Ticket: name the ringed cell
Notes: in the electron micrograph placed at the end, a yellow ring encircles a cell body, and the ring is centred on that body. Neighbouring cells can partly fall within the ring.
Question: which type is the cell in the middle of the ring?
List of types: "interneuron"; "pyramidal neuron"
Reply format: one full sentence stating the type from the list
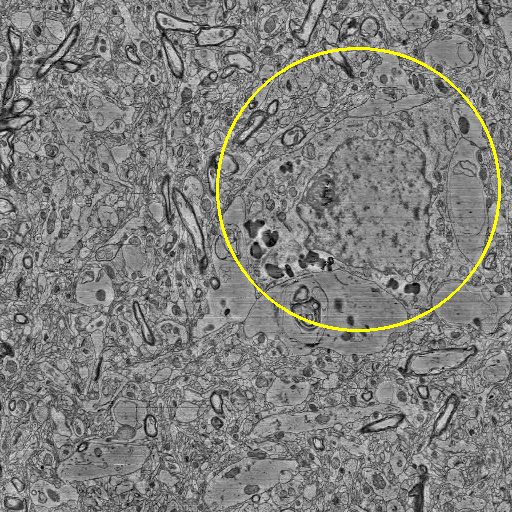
The cell sitting at the centre of the yellow ring is an interneuron.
